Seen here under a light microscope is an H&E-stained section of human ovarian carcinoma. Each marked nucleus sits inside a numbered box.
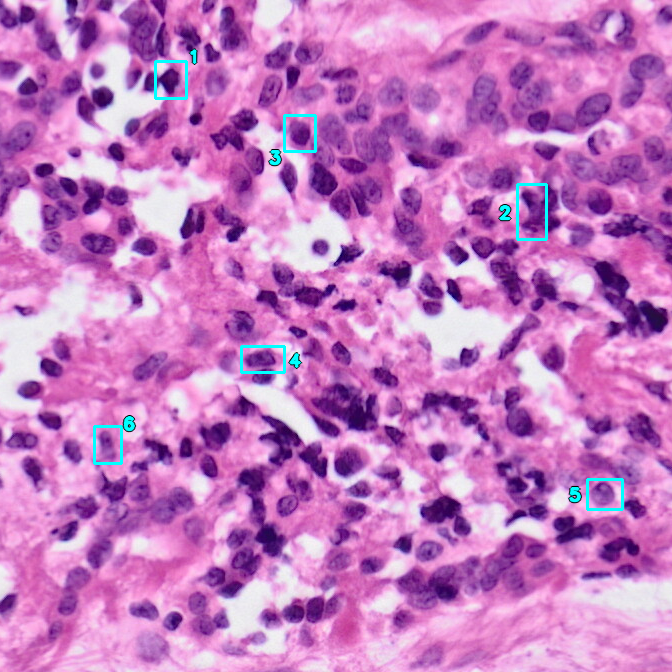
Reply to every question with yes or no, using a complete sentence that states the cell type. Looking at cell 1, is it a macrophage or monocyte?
No, cell 1 is not a macrophage or monocyte, but is instead a carcinoma cell.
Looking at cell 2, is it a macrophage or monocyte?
No, number 2 identifies a carcinoma cell, not a macrophage or monocyte.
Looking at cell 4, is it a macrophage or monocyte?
Yes, number 4 is assigned to a cell that is a macrophage or monocyte.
